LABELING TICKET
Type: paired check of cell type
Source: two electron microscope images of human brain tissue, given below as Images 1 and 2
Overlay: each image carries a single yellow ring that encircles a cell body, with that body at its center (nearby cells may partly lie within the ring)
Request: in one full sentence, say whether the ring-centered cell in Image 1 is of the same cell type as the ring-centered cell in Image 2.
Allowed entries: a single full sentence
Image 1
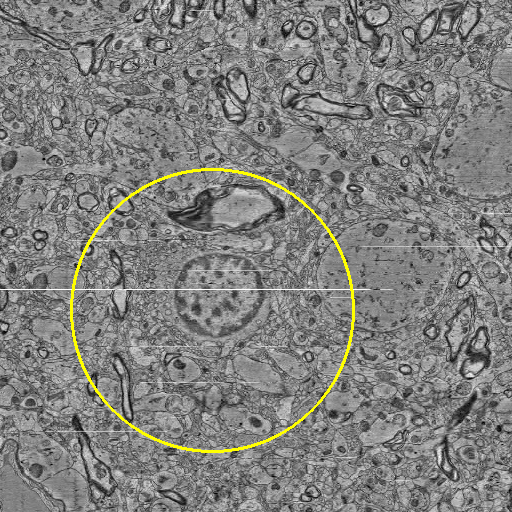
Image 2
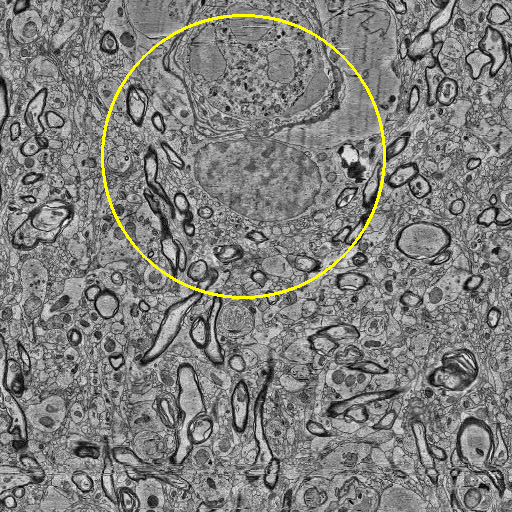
Yes, the cells centered in the rings of Image 1 and Image 2 share one type.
